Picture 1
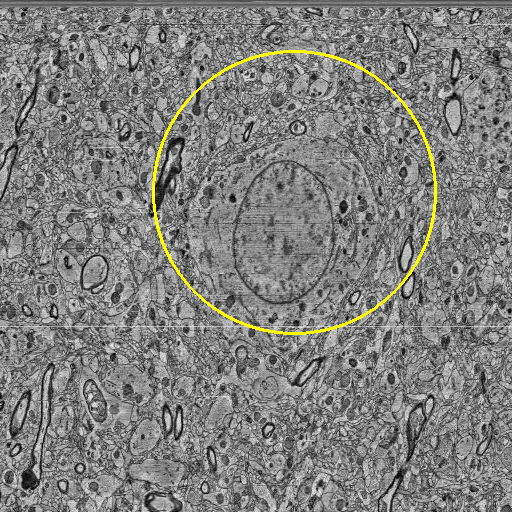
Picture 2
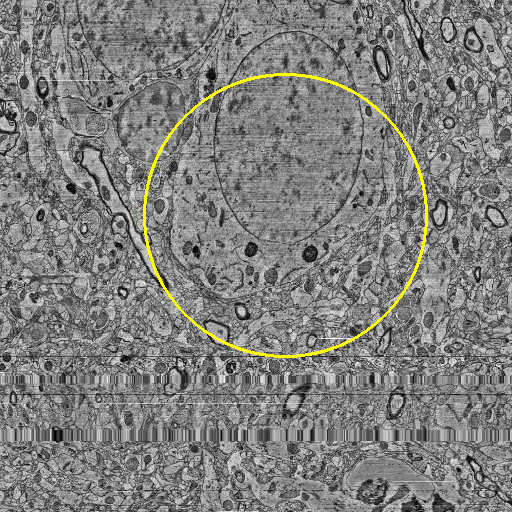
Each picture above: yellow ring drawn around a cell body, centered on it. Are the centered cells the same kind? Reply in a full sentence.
Yes, the two cells are the same kind.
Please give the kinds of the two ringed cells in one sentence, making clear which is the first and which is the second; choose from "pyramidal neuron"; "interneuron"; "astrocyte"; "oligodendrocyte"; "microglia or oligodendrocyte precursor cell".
Each of the two rings is centred on a pyramidal neuron.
